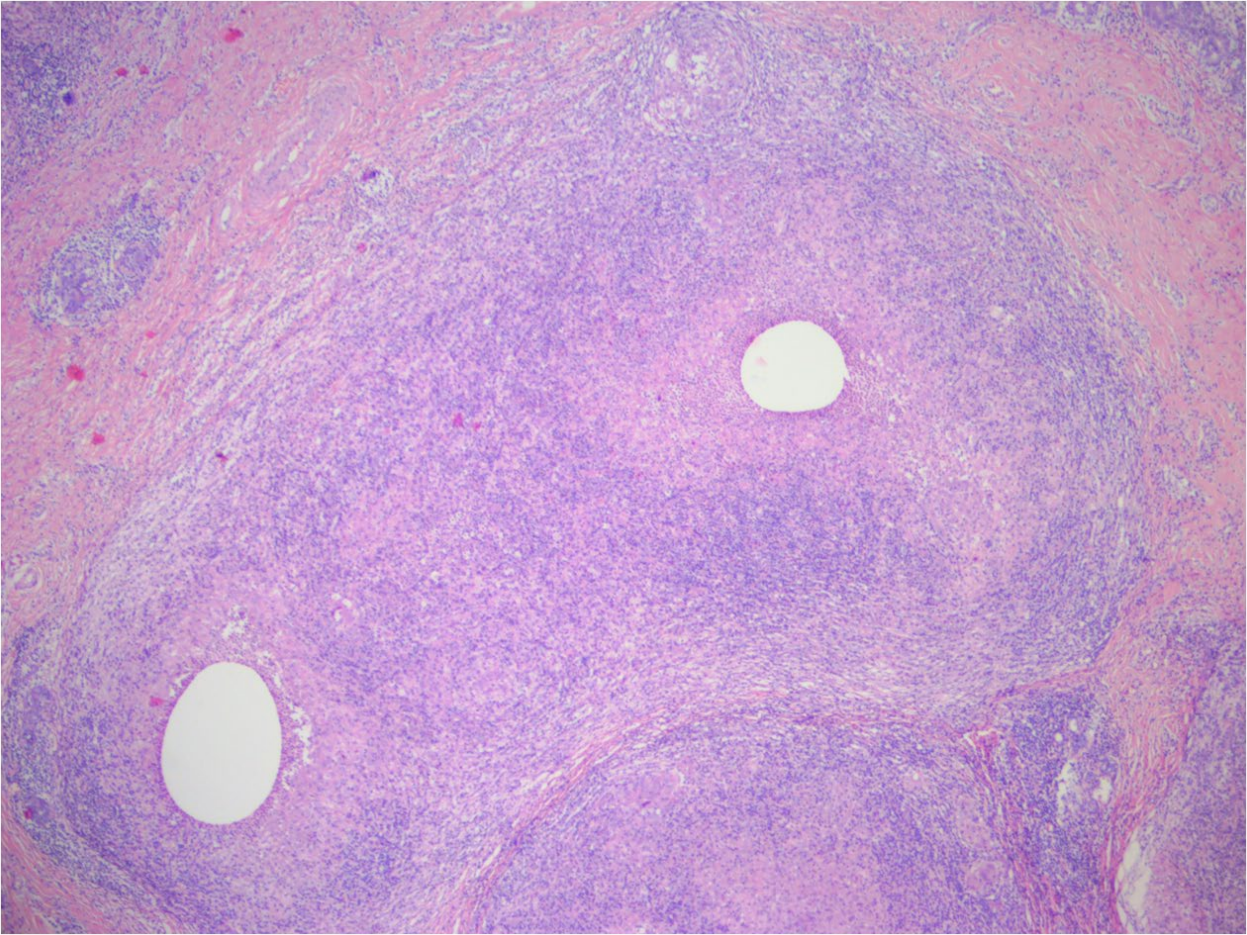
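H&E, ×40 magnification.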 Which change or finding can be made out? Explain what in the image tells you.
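Large rounded nodules made of pale pink cells, bordered by a denser rim of dark blue cells. The nodules are outlined by pink fibrous tissue. Two neighbouring nodules lie against each other. That points to this answer: granulomatous lesions.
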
